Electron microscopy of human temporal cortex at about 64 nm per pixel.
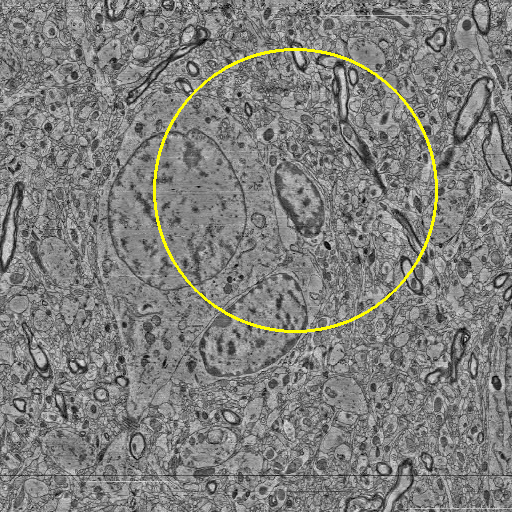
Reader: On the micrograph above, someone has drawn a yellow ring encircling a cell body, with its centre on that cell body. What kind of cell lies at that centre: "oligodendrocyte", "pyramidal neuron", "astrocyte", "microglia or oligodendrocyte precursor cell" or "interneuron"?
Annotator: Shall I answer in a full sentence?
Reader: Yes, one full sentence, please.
Here a microglial cell or oligodendrocyte precursor cell sits at the centre of the yellow ring drawn on the micrograph.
